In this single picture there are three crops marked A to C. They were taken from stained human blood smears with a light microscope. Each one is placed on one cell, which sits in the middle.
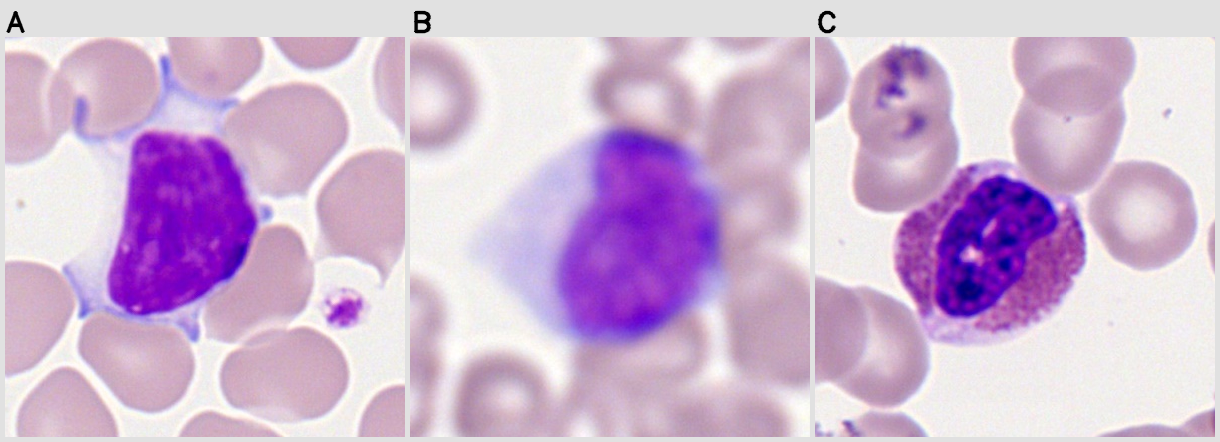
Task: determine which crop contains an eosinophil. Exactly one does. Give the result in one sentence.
Crop C is the crop whose central cell is an eosinophil.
